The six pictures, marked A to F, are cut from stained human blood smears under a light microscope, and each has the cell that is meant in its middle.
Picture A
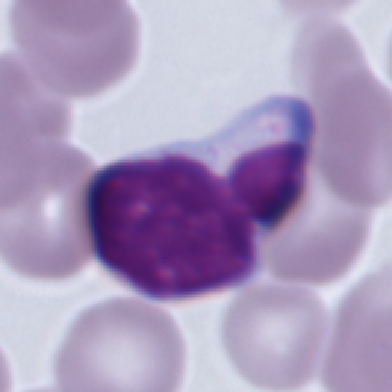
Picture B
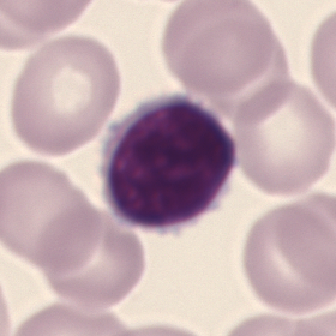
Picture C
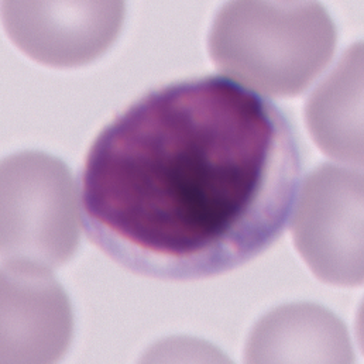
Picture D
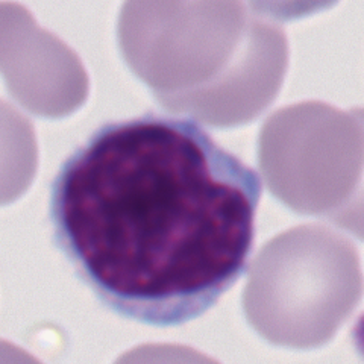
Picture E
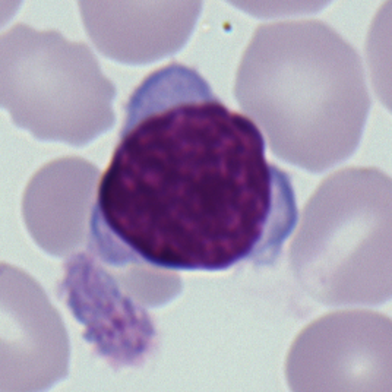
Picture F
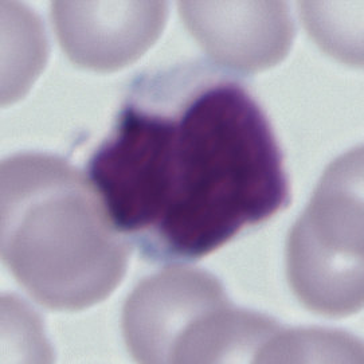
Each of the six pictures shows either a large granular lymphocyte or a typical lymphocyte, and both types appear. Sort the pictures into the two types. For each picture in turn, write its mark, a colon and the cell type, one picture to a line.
A: large granular lymphocyte
B: typical lymphocyte
C: large granular lymphocyte
D: typical lymphocyte
E: typical lymphocyte
F: typical lymphocyte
